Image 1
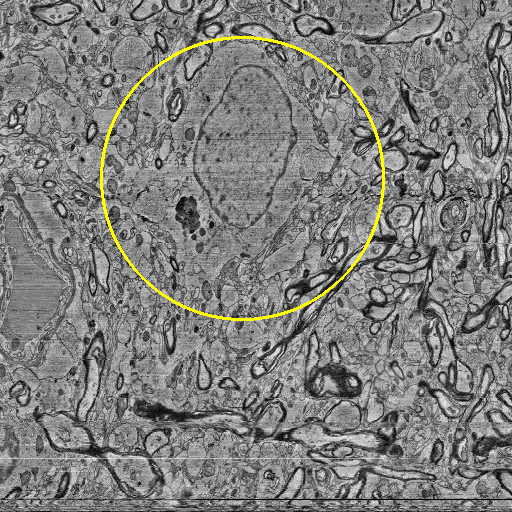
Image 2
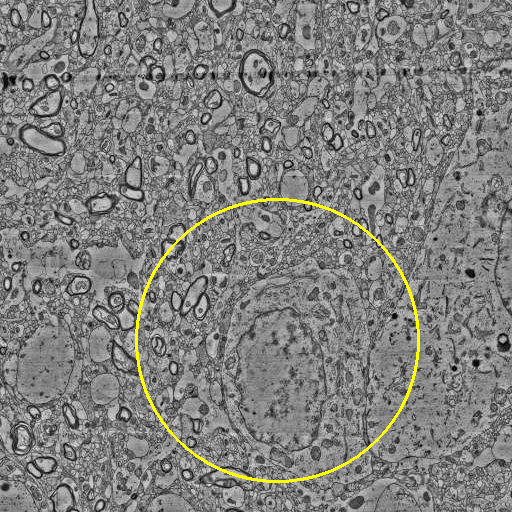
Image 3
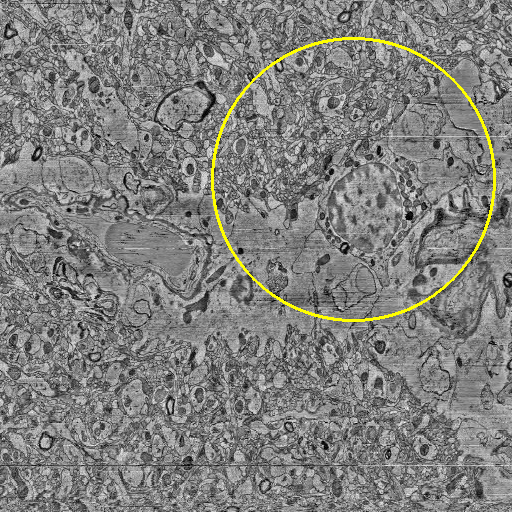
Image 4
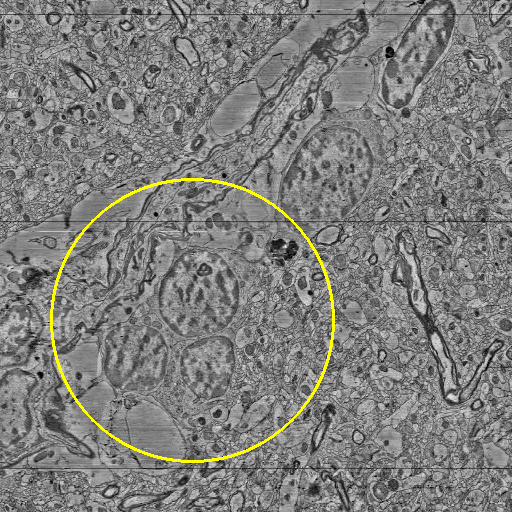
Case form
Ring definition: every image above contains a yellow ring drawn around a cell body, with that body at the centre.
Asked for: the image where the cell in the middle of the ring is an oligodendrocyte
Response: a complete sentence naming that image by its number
Image 4 is the one.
